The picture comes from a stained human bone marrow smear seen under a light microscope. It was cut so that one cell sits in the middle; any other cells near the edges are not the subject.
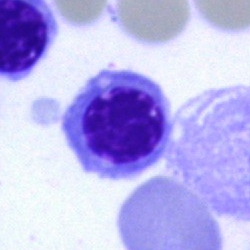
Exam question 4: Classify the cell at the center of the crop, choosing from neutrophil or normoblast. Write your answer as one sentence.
The crop shows a normoblast in its centre.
